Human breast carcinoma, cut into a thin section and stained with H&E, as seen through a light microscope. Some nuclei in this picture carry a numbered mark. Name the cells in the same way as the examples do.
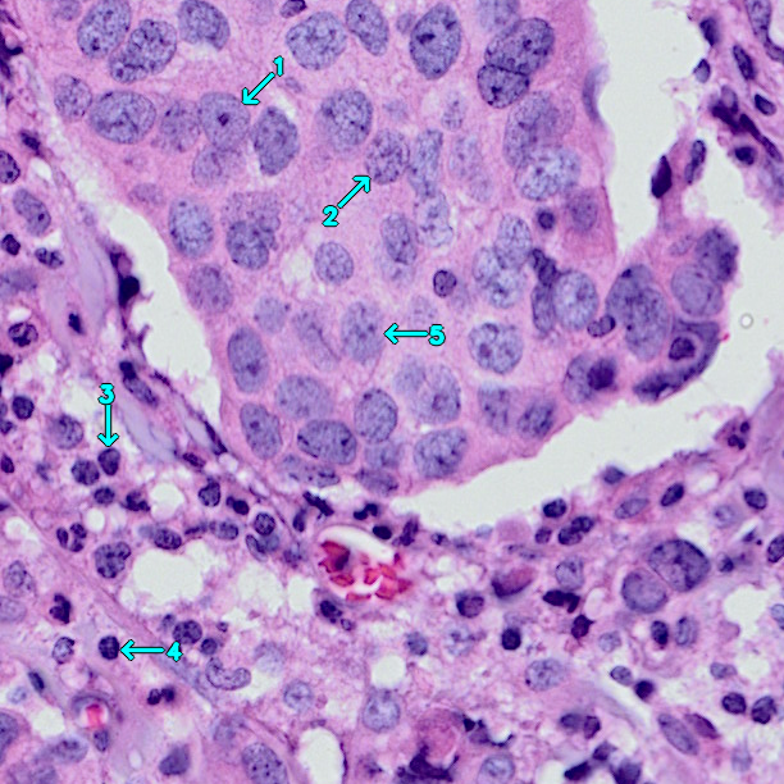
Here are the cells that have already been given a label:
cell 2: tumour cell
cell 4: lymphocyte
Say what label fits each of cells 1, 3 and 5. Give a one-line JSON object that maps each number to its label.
{"1": "tumour cell", "3": "lymphocyte", "5": "tumour cell"}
